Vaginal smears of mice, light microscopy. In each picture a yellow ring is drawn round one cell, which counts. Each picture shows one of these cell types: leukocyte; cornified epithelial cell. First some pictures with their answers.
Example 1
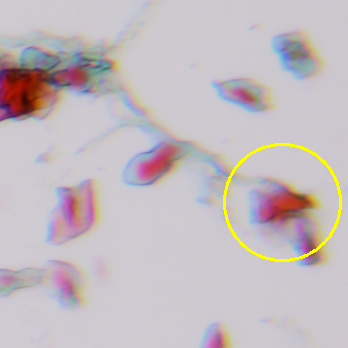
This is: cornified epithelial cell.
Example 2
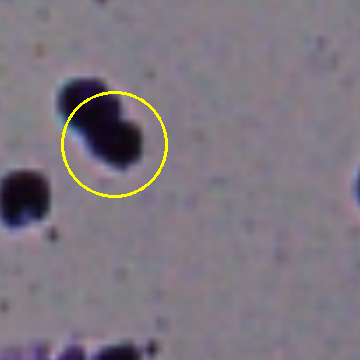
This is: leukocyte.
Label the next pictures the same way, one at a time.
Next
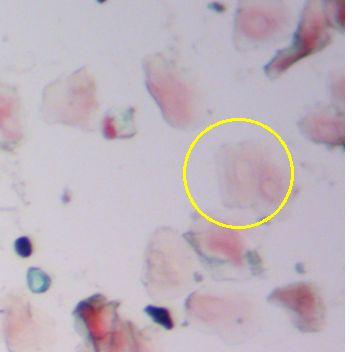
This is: cornified epithelial cell.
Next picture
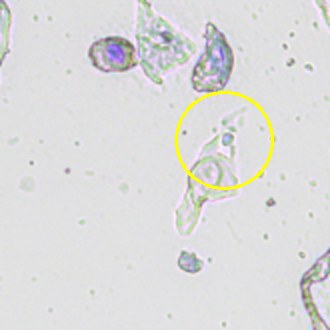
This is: cornified epithelial cell.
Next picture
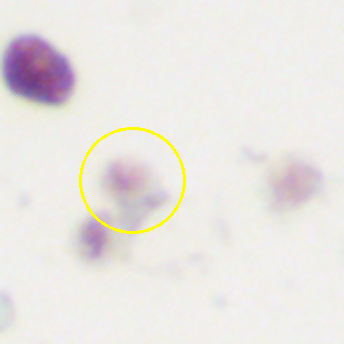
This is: leukocyte.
